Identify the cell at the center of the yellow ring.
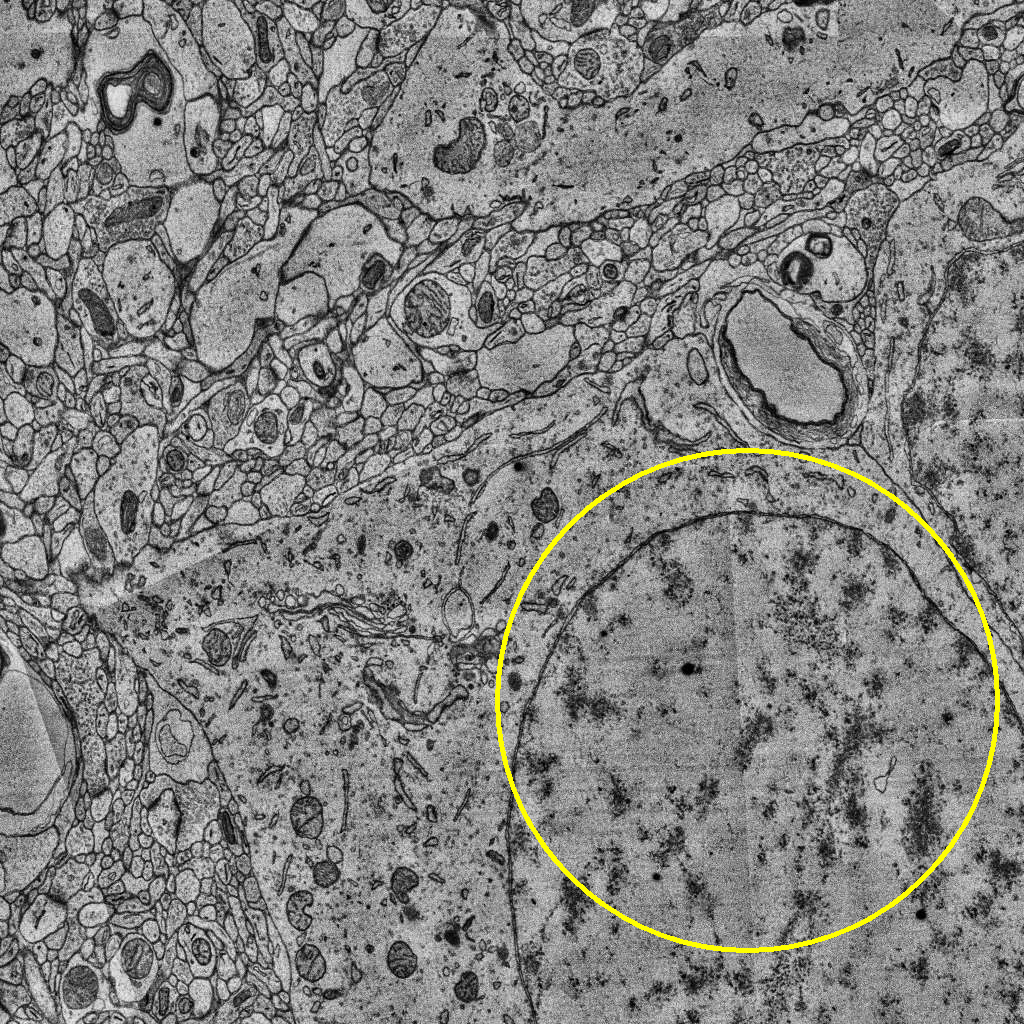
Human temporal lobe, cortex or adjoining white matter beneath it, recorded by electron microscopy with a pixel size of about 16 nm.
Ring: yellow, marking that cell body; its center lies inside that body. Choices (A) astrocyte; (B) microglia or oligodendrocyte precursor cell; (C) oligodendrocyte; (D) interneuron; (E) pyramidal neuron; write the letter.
E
